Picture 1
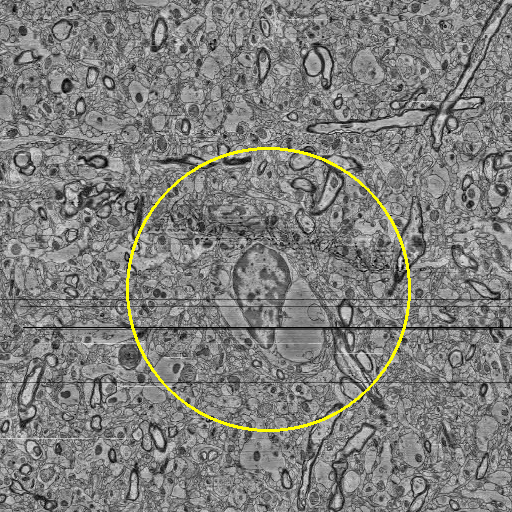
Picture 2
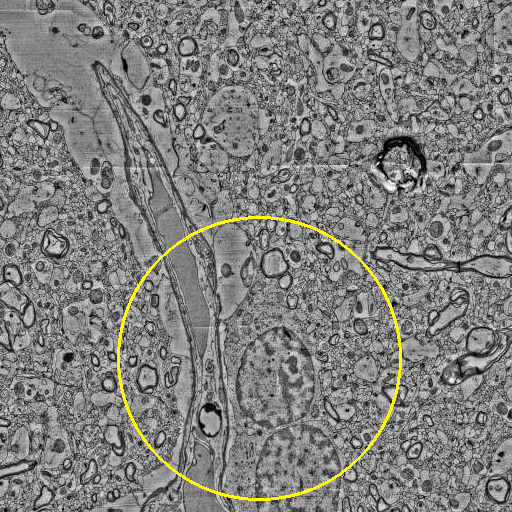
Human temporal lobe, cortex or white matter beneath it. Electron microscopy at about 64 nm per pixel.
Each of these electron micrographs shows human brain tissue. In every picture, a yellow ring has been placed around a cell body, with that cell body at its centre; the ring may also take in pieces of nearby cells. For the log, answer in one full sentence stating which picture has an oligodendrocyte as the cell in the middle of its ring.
In picture 2, the cell at the centre of the yellow ring is the requested one.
